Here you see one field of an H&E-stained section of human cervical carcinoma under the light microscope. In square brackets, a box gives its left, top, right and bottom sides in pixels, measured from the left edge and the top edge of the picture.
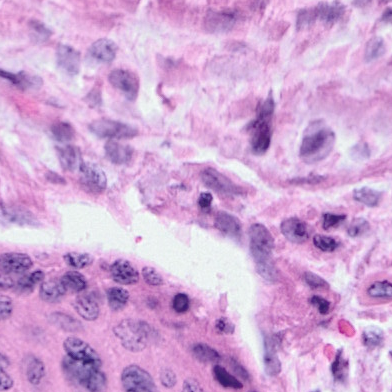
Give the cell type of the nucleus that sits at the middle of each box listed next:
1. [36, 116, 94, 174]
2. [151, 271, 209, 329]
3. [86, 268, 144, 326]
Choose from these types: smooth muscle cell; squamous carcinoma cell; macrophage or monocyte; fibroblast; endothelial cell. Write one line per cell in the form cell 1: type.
cell 1: fibroblast
cell 2: squamous carcinoma cell
cell 3: squamous carcinoma cell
